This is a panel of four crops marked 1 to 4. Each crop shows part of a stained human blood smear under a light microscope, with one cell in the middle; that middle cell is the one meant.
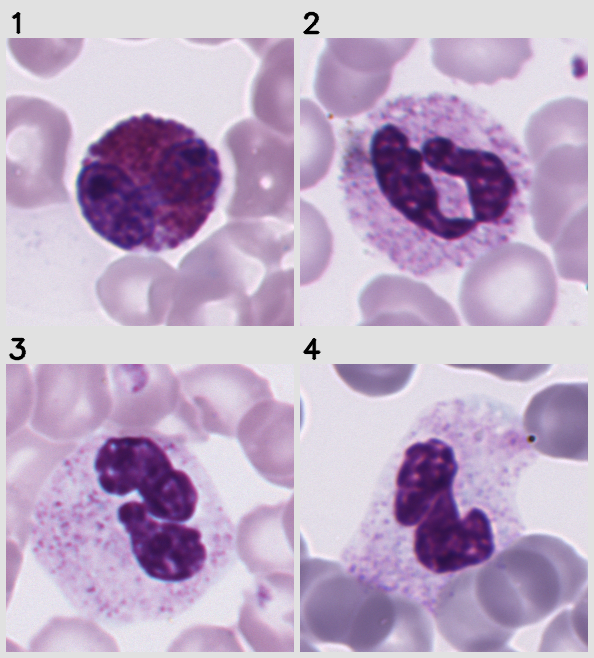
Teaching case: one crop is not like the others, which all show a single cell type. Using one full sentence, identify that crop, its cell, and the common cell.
Crop 1 holds an eosinophil, unlike the remaining crops, all of which hold segmented neutrophils.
